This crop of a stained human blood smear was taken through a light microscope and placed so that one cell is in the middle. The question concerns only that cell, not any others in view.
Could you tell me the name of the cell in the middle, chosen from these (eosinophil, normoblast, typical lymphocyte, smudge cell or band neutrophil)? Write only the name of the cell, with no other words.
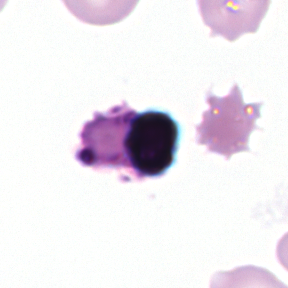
normoblast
